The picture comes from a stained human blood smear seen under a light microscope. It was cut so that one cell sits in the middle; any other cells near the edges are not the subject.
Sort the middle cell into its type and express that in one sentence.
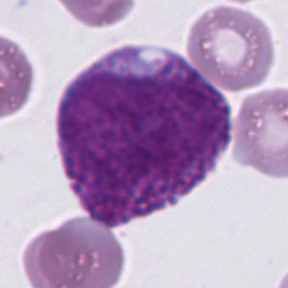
As for the central cell, it is a promyelocyte.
